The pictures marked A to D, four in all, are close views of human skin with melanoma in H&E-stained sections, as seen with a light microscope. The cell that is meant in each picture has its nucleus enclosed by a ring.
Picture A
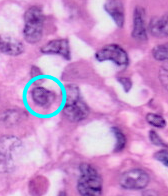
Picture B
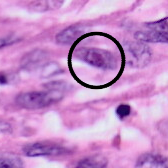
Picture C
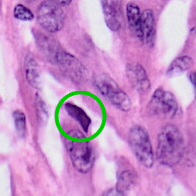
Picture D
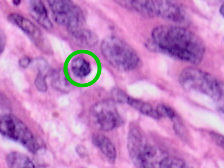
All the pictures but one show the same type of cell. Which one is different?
D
